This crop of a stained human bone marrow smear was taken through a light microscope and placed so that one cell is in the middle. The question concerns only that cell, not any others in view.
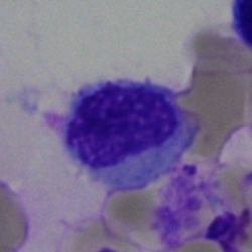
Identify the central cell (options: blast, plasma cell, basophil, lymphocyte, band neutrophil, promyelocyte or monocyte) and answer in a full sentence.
For this crop, the central cell is a lymphocyte.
